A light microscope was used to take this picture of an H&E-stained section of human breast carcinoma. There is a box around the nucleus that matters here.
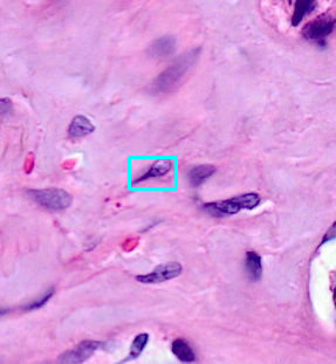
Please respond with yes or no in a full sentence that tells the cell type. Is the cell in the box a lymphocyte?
No, the cell in the box counts as a fibroblast, not a lymphocyte.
